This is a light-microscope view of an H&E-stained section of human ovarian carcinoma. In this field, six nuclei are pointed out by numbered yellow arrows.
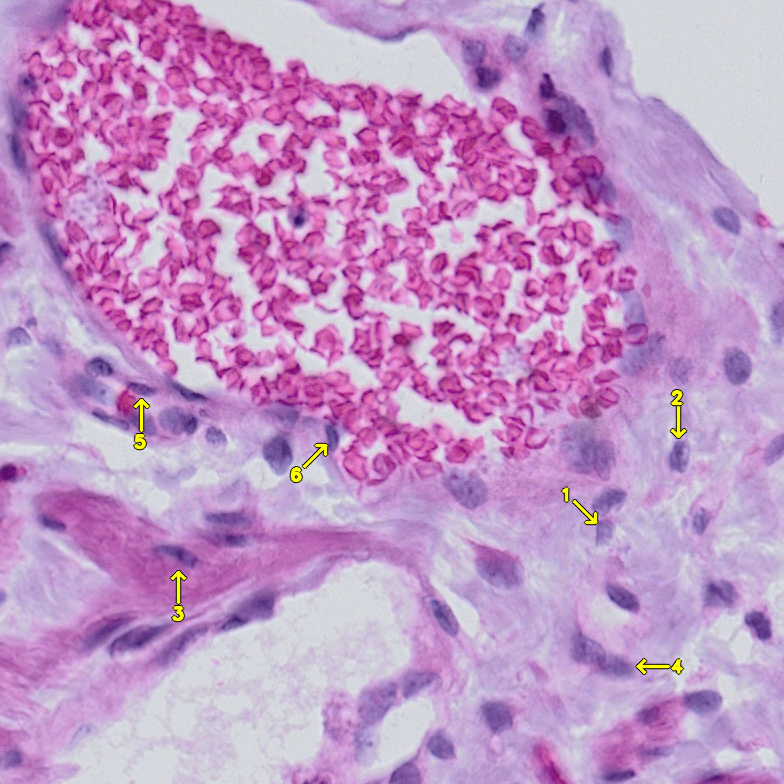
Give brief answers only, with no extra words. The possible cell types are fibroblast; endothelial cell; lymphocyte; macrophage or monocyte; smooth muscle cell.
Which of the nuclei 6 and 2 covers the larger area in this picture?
2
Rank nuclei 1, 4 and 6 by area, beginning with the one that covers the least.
6, 1, 4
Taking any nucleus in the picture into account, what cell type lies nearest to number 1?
fibroblast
